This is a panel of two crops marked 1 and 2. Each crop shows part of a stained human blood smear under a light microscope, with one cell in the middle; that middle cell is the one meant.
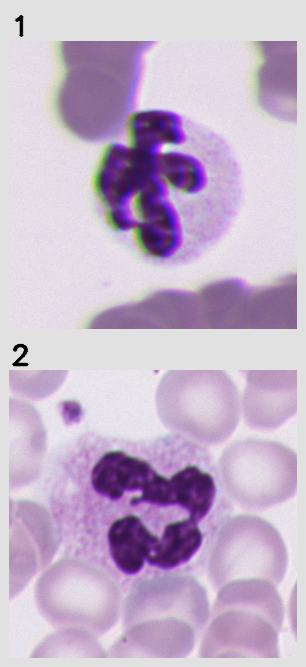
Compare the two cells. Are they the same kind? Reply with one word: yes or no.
yes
